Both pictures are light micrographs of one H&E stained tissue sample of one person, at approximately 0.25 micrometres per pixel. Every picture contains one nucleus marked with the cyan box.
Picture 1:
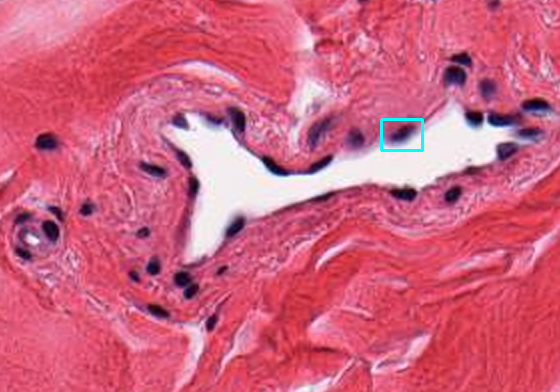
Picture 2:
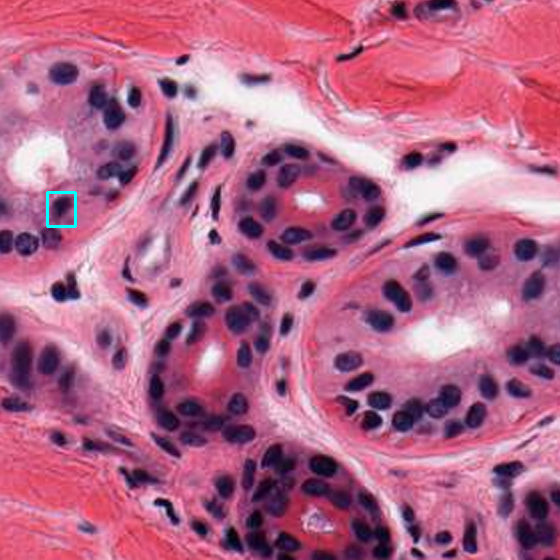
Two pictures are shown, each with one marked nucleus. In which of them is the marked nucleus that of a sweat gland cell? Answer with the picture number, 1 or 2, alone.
2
